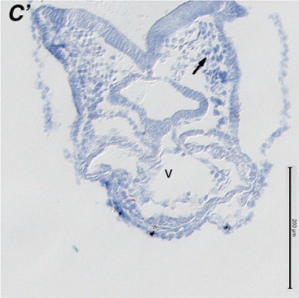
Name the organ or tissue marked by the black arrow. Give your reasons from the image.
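The arrow points to loosely arranged cells lateral to the central endoderm-lined cavity. A large heart chamber lies ventrally. That points to this answer: pharyngeal mesenchyme.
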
